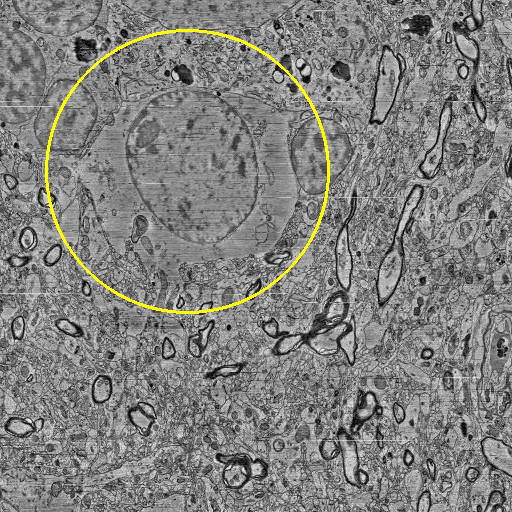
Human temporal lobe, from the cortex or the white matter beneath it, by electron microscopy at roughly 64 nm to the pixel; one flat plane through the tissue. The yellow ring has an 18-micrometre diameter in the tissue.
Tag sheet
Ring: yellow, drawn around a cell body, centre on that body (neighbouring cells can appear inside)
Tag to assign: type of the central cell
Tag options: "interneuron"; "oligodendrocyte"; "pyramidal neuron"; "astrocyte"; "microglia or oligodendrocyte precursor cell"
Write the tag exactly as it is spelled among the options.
astrocyte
